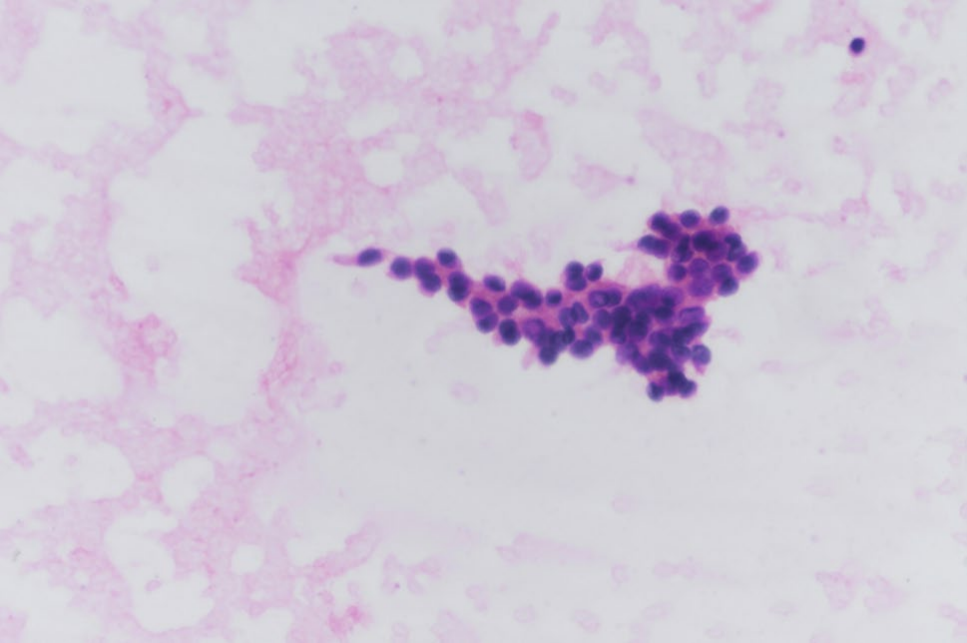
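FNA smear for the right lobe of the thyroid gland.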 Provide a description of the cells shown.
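The fragment forms an elongated, branching cluster that is broad and crowded at one end and tapers into a narrow strand of cells at the other. The background holds pale pink, lacy material with few other cells.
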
